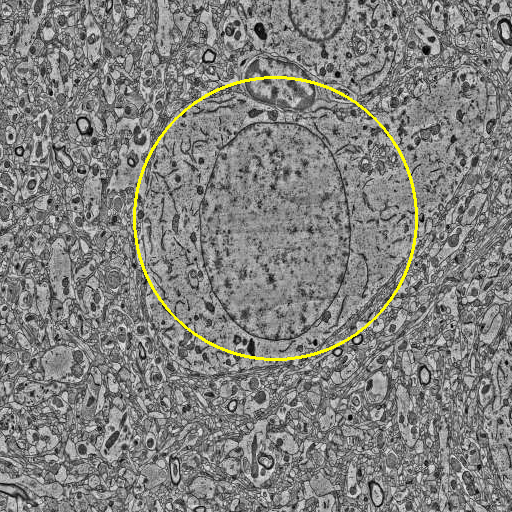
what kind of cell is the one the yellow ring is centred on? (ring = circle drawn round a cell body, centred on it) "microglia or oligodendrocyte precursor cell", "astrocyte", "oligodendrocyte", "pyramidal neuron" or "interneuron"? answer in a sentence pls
The ring is drawn around a pyramidal neuron.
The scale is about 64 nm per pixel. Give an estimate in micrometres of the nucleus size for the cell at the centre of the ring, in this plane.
In this plane, about 14 micrometres in length and 10 in width.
